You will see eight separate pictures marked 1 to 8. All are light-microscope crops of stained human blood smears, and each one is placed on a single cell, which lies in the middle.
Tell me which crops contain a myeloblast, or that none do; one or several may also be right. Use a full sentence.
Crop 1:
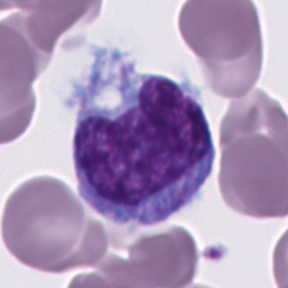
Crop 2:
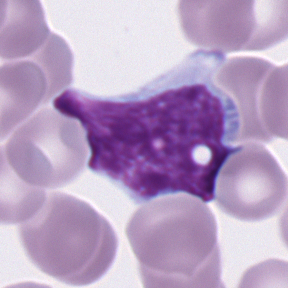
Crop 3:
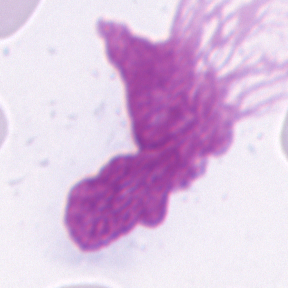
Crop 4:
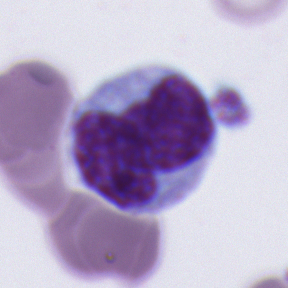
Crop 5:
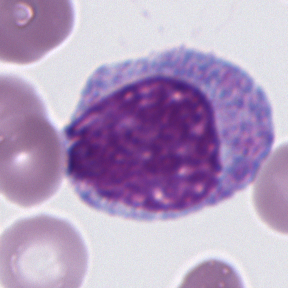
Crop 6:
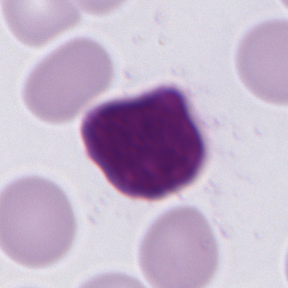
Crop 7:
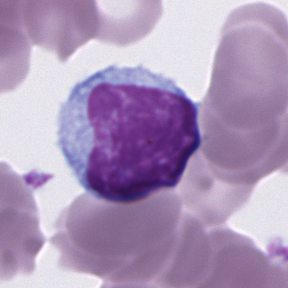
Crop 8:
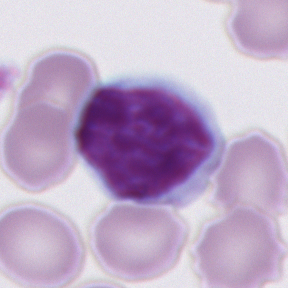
Not one crop in the set is centred on a myeloblast.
